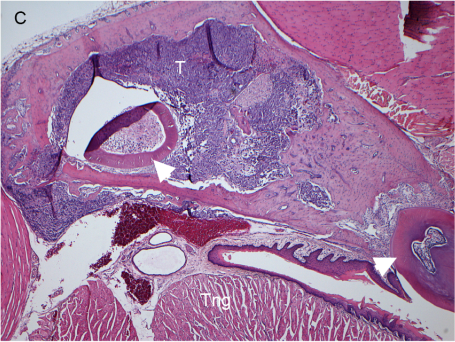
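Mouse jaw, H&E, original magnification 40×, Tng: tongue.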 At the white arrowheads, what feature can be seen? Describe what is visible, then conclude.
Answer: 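Teeth. The arrowheads point at curved, pink, layered hard structures with a central pulp space.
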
